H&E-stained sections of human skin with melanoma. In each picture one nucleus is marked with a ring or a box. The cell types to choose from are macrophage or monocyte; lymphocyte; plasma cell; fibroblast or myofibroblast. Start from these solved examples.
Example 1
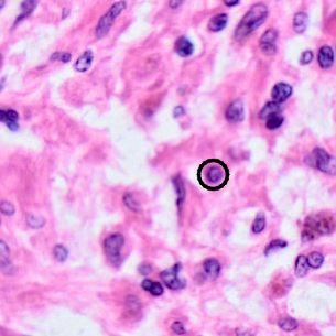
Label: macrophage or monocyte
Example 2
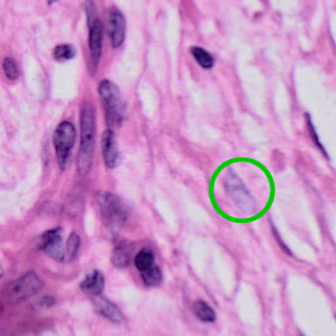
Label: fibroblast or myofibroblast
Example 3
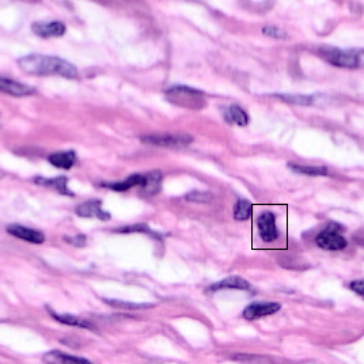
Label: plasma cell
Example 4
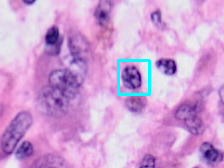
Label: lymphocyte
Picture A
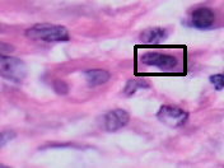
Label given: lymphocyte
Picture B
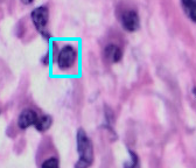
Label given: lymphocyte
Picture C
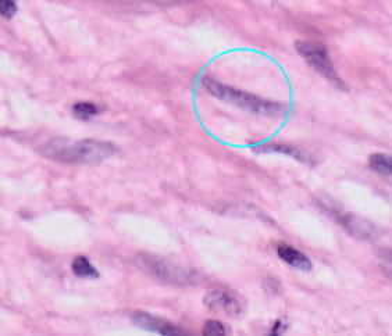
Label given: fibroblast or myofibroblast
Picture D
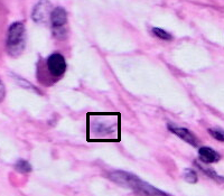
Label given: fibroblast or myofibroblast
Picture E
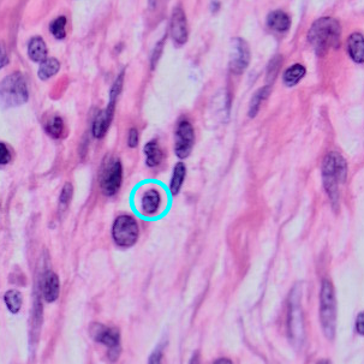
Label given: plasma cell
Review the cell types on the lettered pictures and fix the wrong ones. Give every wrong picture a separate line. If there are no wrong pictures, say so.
A should be plasma cell, not lymphocyte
